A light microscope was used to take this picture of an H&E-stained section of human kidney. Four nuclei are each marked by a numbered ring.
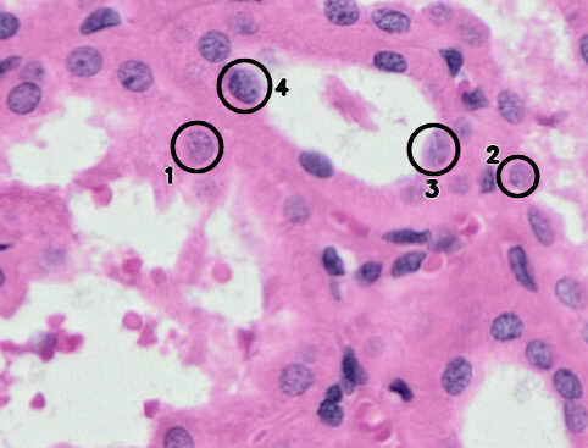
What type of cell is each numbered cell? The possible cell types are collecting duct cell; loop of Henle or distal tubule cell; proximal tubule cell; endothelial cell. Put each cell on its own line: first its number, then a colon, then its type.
1: proximal tubule cell
2: loop of Henle or distal tubule cell
3: loop of Henle or distal tubule cell
4: loop of Henle or distal tubule cell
